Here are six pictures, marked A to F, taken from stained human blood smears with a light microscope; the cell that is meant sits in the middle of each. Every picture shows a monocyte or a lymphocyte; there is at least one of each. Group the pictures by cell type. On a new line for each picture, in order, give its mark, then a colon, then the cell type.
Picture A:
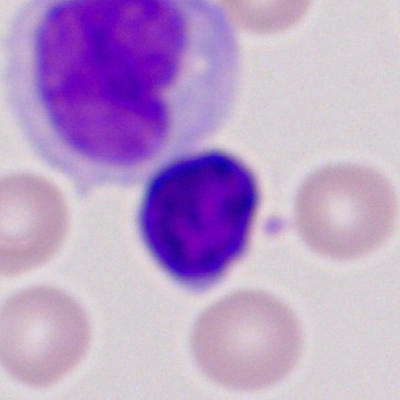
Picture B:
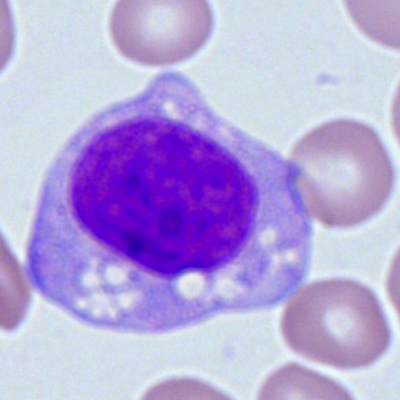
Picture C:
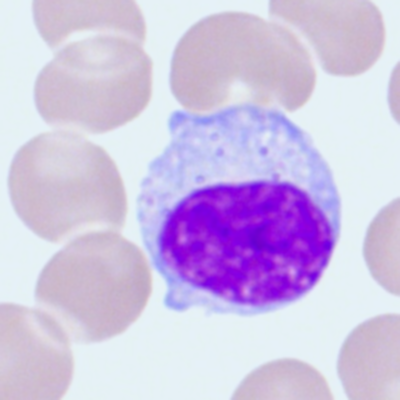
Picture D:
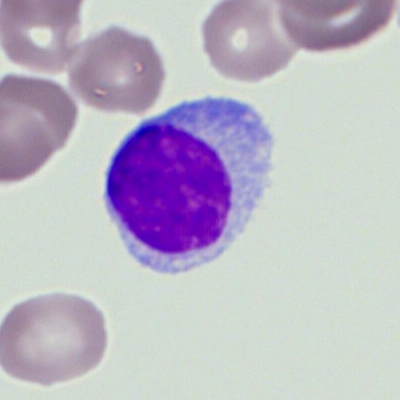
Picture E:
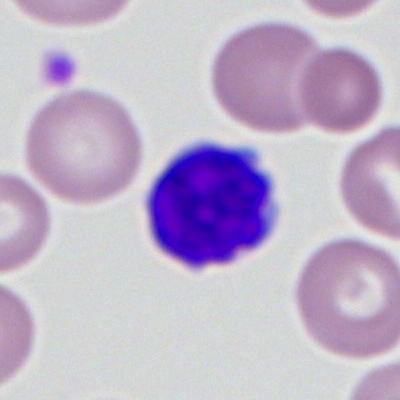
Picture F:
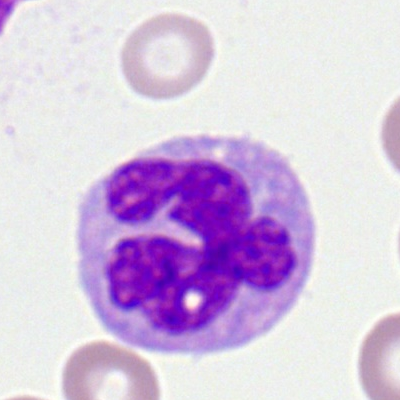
A: lymphocyte
B: monocyte
C: lymphocyte
D: lymphocyte
E: lymphocyte
F: monocyte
